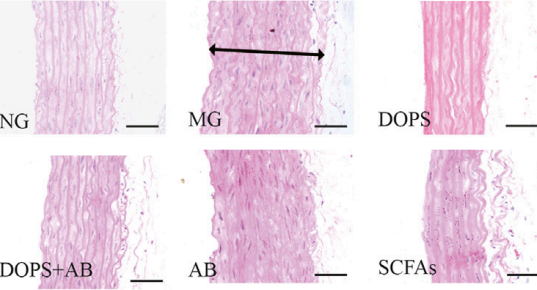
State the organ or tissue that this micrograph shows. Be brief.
aorta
